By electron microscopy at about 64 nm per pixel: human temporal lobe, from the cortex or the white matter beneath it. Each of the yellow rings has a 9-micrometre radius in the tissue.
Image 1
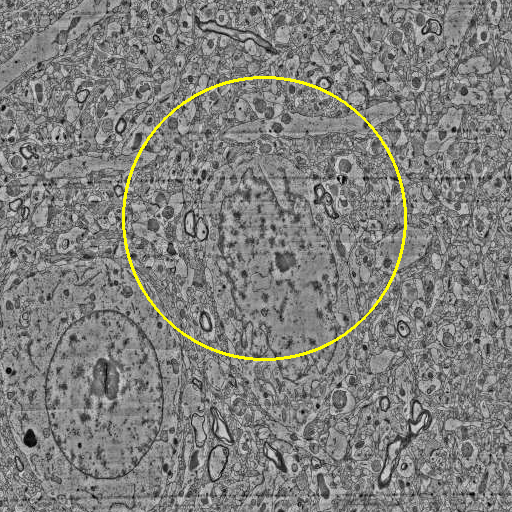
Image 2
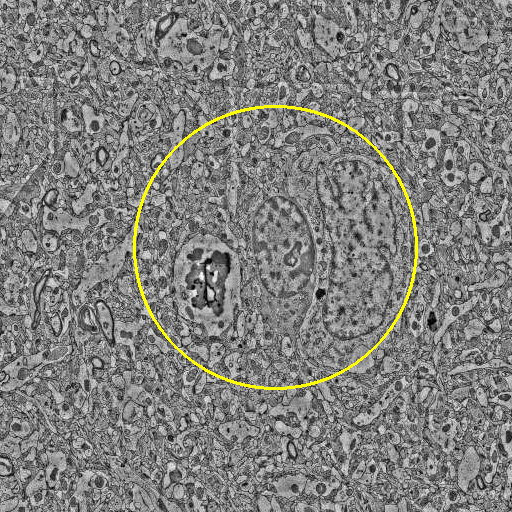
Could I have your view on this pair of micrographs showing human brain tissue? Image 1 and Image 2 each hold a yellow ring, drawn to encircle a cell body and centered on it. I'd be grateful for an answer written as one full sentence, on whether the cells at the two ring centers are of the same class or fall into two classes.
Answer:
The cells at the centers of the two rings fall into two classes.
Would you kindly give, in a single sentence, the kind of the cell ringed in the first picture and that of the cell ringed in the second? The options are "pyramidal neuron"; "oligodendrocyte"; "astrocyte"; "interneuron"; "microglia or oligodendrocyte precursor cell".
The second cell is an oligodendrocyte, and the first cell is an interneuron.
